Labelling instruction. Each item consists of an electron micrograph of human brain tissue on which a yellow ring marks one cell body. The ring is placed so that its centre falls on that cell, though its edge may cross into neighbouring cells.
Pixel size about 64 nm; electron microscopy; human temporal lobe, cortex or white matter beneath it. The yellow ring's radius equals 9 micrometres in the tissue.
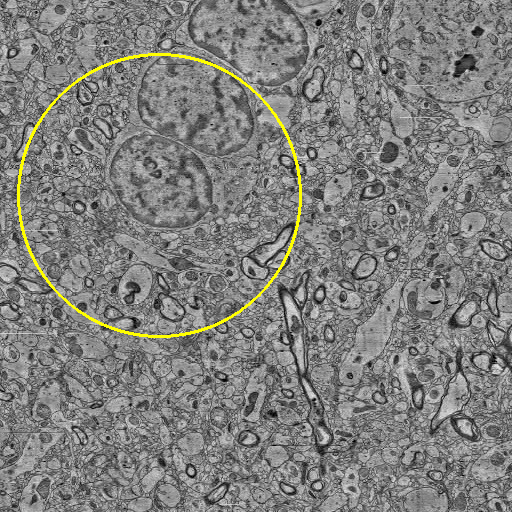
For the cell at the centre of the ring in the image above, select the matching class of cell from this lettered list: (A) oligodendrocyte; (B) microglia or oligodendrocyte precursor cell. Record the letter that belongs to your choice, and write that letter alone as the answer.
A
